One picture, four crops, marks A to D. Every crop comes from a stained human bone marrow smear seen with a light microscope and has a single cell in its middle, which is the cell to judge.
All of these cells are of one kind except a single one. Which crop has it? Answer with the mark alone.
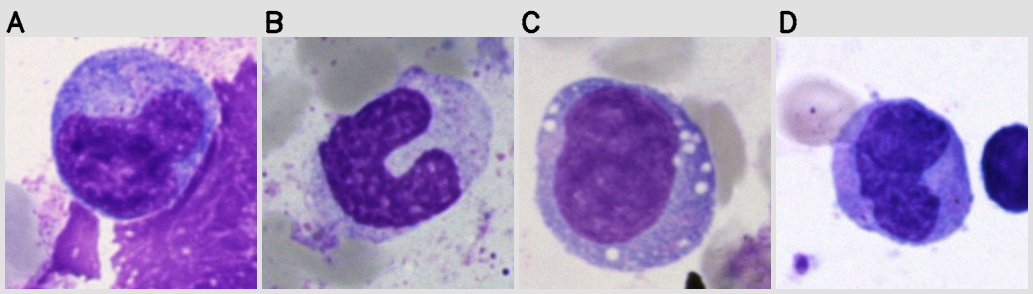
C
